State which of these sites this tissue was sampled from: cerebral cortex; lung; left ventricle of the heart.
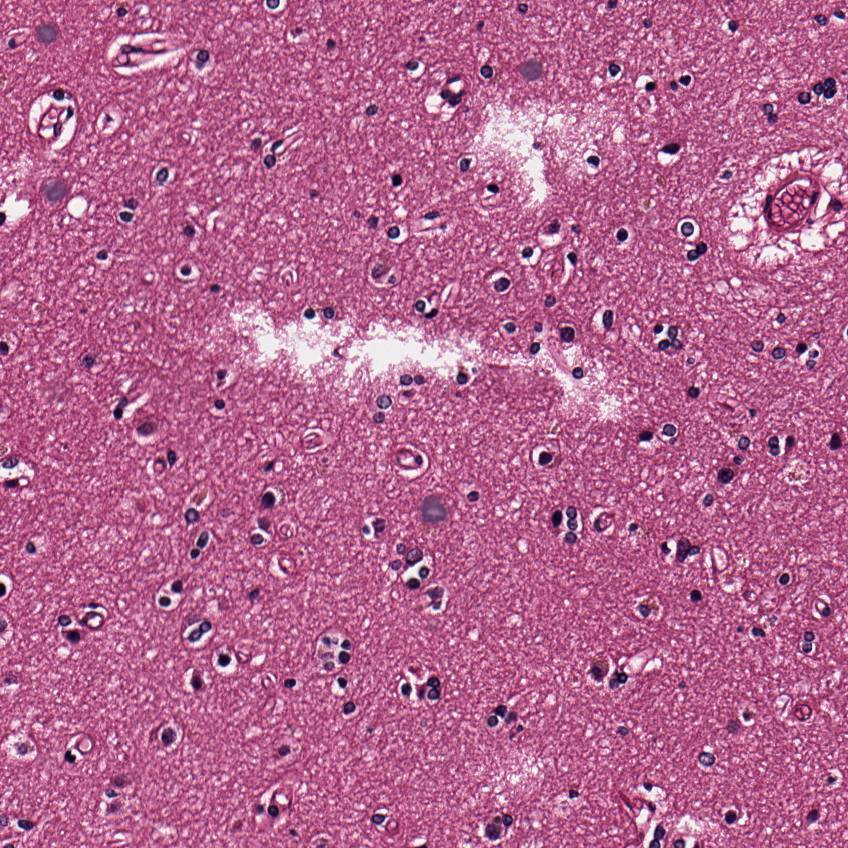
cerebral cortex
